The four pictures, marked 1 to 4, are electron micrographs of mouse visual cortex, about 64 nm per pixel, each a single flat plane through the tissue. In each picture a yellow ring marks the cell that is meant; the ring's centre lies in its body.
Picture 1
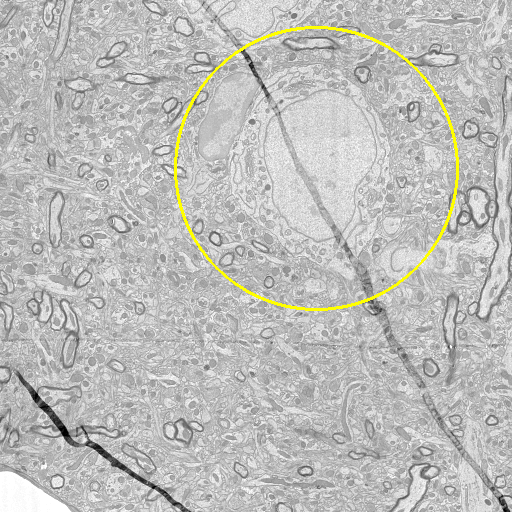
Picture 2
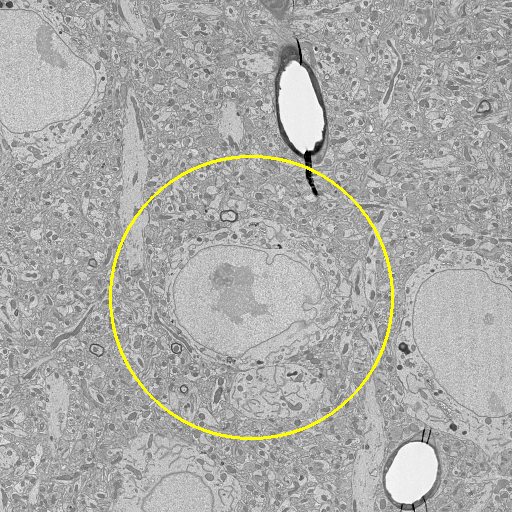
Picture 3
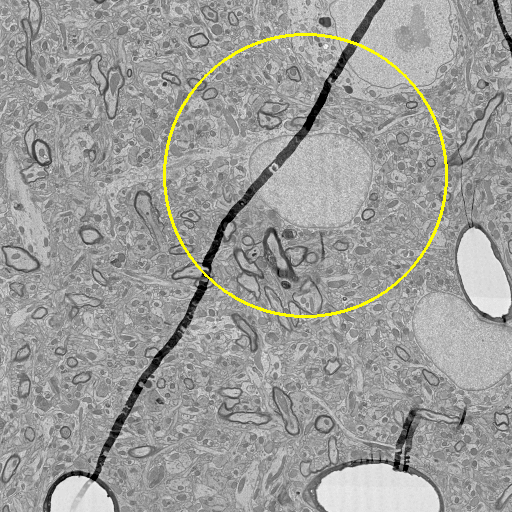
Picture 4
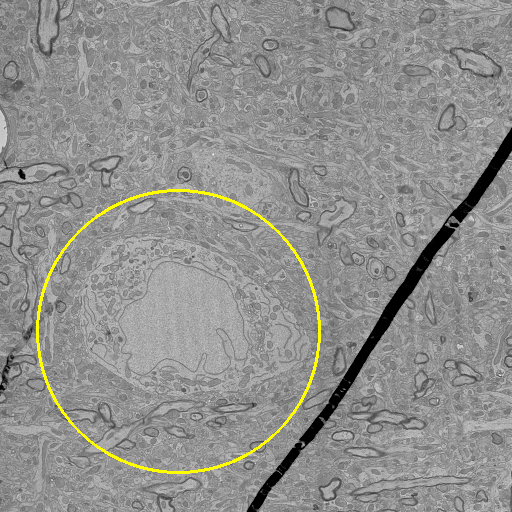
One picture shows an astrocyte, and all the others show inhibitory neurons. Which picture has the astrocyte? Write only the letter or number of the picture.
3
